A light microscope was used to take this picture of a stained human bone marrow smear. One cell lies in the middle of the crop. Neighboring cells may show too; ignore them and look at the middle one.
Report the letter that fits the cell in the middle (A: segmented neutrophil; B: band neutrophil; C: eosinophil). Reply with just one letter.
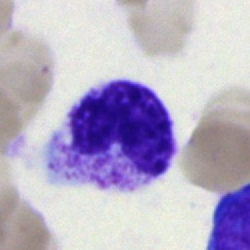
B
